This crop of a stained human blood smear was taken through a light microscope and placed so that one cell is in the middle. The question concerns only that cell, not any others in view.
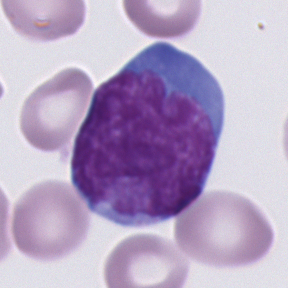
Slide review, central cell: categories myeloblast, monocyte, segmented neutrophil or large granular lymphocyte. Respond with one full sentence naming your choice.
Classification of the middle cell gives a myeloblast.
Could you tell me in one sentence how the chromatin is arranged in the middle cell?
What stands out is chromatin that is coarsely clumped.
